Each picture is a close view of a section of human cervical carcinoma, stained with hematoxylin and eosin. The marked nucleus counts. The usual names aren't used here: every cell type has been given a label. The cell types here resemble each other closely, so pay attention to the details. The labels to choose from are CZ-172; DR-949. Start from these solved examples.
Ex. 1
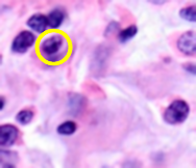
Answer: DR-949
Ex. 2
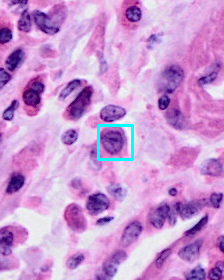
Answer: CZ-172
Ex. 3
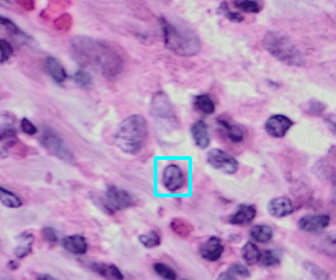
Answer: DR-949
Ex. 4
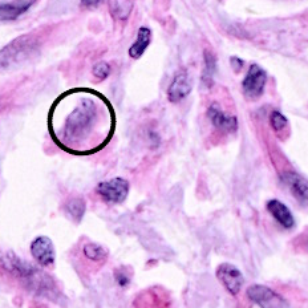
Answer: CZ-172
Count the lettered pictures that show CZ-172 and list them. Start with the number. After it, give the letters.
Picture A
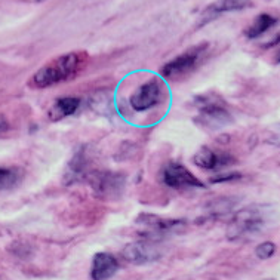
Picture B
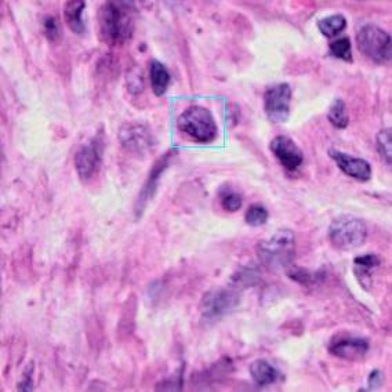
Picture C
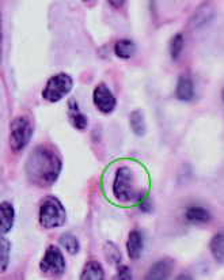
1, namely B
